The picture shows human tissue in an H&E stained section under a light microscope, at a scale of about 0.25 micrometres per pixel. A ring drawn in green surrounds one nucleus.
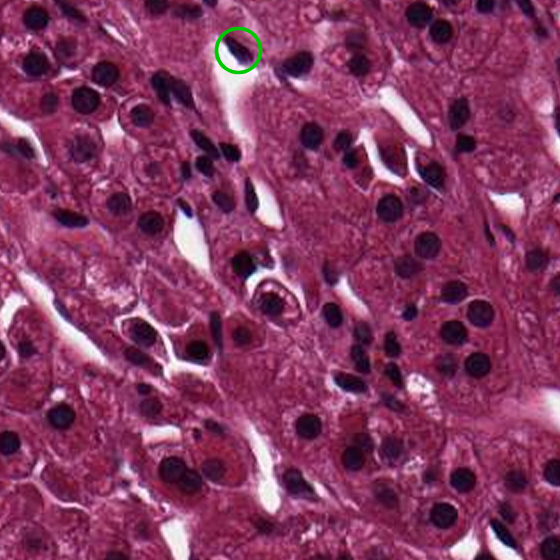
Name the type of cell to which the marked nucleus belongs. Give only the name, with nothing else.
endothelial cell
